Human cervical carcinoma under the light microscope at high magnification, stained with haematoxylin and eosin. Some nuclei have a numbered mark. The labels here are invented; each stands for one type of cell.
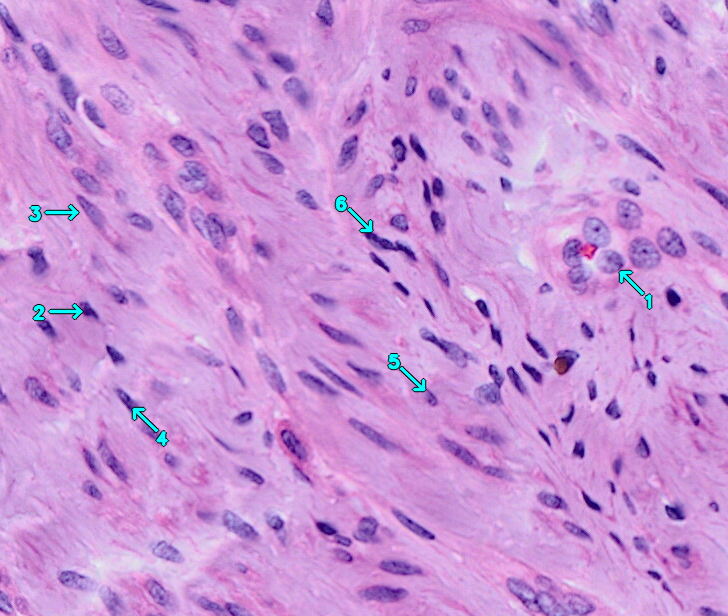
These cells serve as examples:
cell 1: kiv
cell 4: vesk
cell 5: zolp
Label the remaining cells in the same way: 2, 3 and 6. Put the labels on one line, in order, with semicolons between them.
vesk; zolp; vesk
